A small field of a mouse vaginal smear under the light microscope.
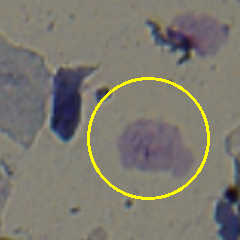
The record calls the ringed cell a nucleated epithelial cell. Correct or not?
Not correct; it is a cornified epithelial cell.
